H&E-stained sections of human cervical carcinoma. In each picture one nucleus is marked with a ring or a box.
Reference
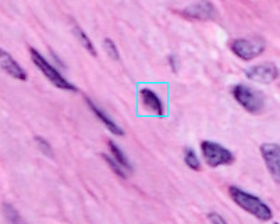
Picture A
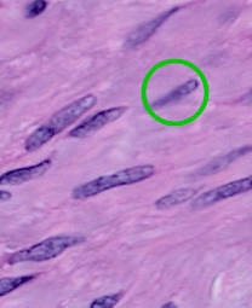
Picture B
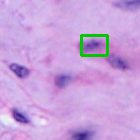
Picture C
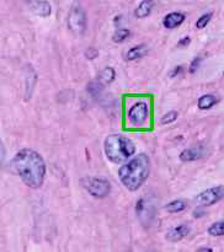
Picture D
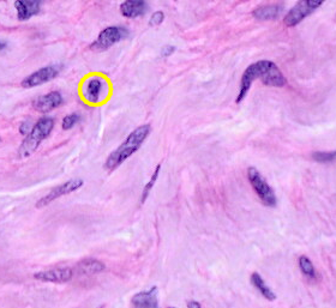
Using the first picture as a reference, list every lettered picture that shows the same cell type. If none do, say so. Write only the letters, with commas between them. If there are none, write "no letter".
A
